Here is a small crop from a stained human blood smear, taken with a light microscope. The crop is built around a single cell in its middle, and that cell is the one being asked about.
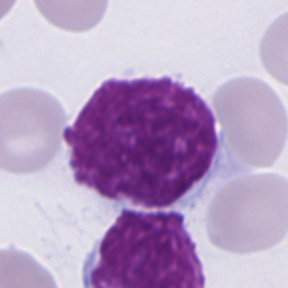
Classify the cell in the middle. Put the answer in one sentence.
The single cell at the center of the crop is a blast.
